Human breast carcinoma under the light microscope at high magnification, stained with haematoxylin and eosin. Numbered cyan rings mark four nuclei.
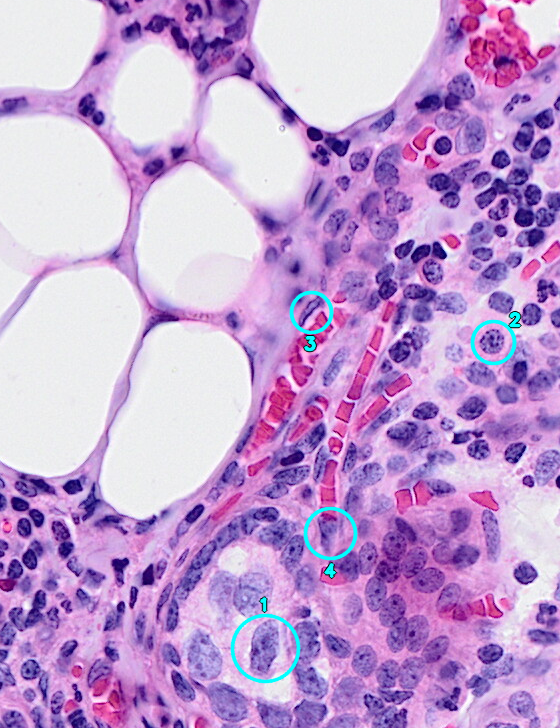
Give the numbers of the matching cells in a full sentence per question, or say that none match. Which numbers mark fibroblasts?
The marked and numbered cells comprise no fibroblasts.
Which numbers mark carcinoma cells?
Among the numbered cells, cell 1 alone is a carcinoma cell.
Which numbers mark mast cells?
The sole numbered cell that is a mast cell is cell 2.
